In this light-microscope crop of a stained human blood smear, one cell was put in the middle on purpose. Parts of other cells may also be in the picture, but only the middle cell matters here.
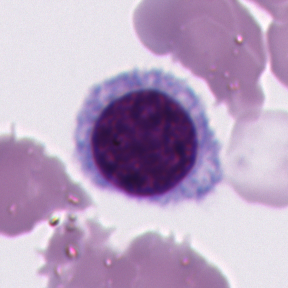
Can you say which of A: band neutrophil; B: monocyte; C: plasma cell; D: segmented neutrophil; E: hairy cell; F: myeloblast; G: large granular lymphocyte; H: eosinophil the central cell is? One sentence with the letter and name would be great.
As the central cell is a hairy cell, option E is correct.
